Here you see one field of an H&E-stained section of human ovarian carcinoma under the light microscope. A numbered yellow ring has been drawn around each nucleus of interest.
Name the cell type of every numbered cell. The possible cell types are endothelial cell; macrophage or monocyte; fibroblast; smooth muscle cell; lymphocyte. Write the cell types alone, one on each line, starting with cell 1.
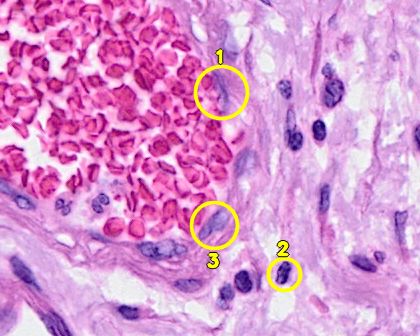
endothelial cell
lymphocyte
endothelial cell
